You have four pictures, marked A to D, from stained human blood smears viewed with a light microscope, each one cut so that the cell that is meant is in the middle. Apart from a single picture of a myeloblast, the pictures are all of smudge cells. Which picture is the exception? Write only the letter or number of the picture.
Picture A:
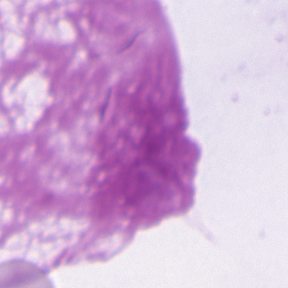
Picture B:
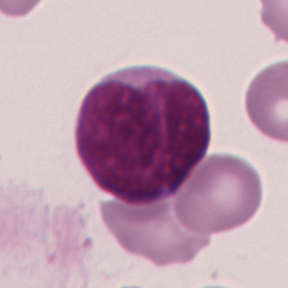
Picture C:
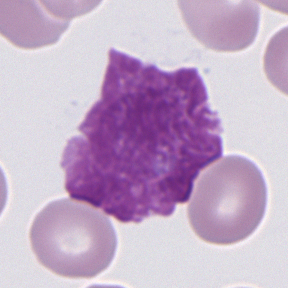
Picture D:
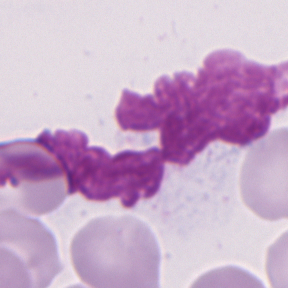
B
